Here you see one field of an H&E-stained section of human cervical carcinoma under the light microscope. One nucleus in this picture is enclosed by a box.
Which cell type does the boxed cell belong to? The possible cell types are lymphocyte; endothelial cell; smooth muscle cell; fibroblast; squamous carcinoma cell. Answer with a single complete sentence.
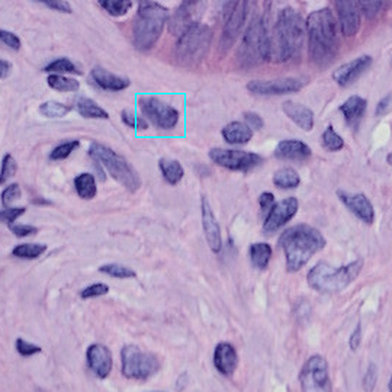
This is a fibroblast.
